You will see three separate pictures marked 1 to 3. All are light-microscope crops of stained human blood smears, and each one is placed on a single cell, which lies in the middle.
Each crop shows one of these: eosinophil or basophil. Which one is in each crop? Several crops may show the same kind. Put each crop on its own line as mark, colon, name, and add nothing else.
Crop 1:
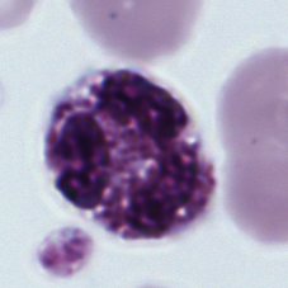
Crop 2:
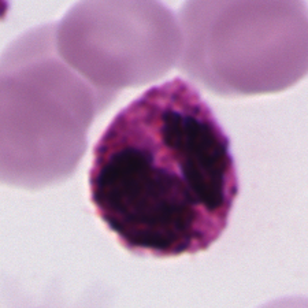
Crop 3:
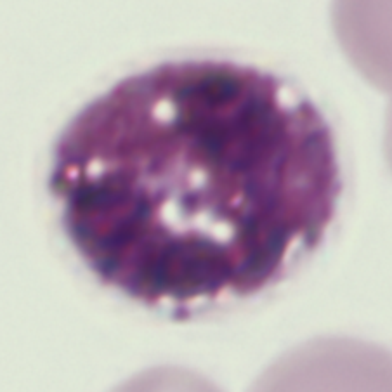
1: eosinophil
2: basophil
3: eosinophil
